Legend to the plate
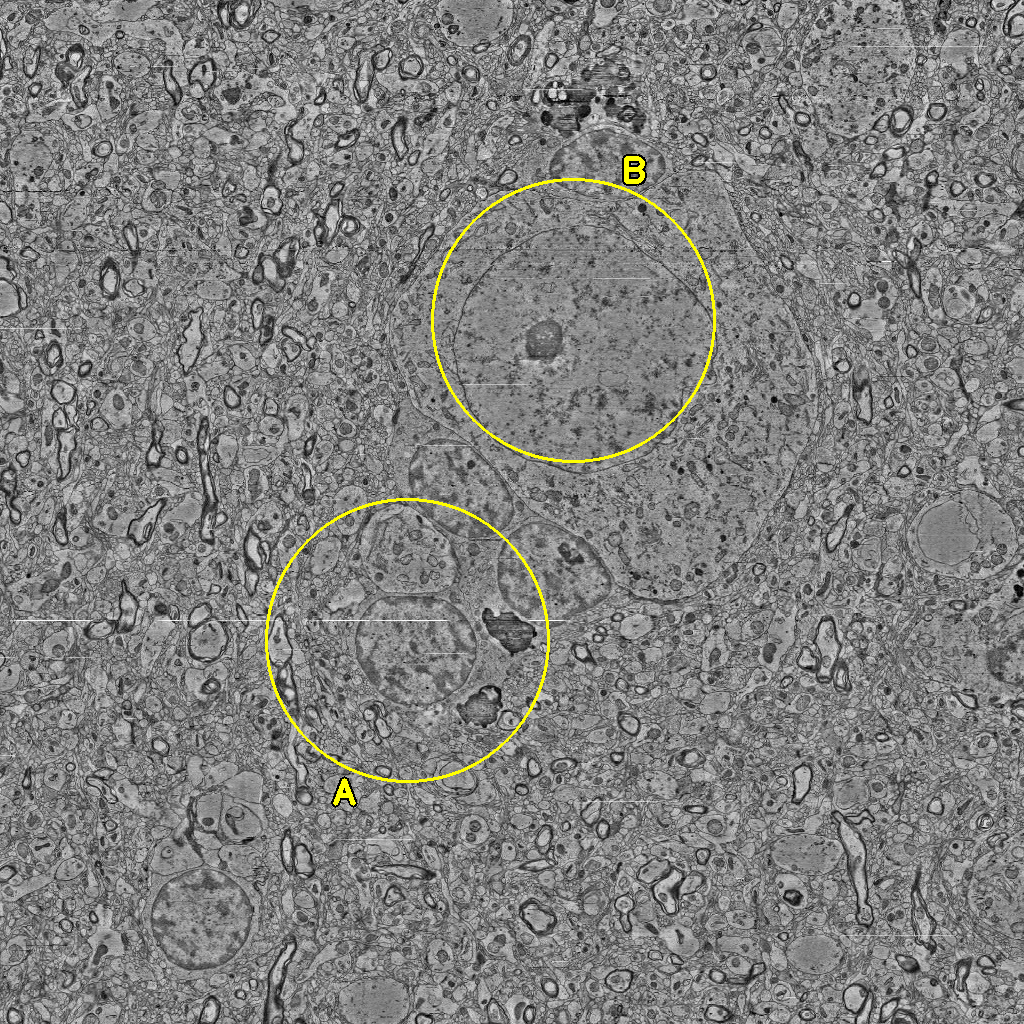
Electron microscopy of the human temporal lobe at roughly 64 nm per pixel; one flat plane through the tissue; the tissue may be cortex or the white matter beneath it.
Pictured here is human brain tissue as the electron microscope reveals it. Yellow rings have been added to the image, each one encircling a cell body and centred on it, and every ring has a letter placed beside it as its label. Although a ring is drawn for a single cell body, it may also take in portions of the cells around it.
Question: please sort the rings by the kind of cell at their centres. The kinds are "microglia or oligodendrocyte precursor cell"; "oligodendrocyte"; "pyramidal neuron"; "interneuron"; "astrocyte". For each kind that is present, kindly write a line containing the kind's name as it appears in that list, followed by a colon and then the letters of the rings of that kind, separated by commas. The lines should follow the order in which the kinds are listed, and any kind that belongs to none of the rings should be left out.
oligodendrocyte: A
pyramidal neuron: B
